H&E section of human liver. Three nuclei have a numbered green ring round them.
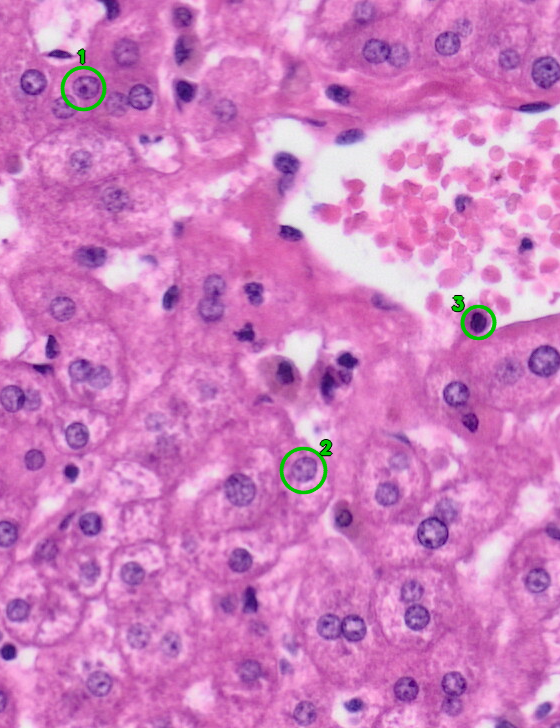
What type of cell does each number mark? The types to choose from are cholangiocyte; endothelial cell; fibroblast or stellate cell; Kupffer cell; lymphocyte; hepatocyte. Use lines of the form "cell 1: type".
cell 1: hepatocyte
cell 2: hepatocyte
cell 3: Kupffer cell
